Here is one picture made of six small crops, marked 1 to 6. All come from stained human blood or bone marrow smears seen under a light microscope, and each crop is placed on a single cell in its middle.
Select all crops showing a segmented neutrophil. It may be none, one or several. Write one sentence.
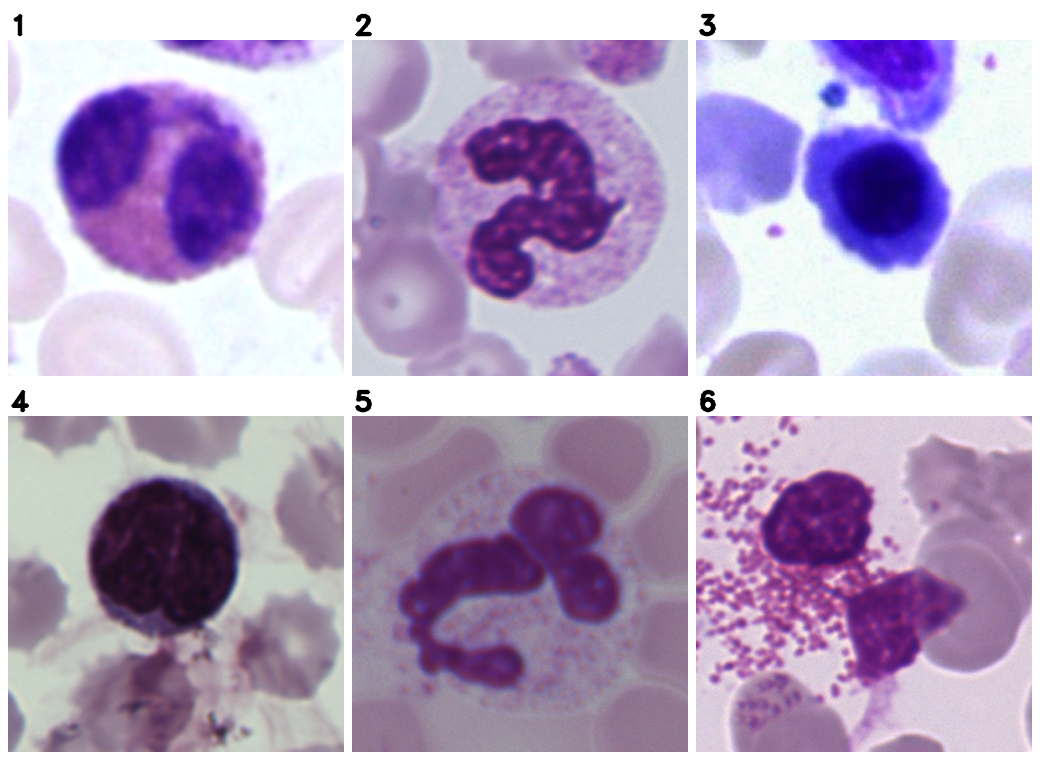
The cells in crops 2 and 5 are segmented neutrophils.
